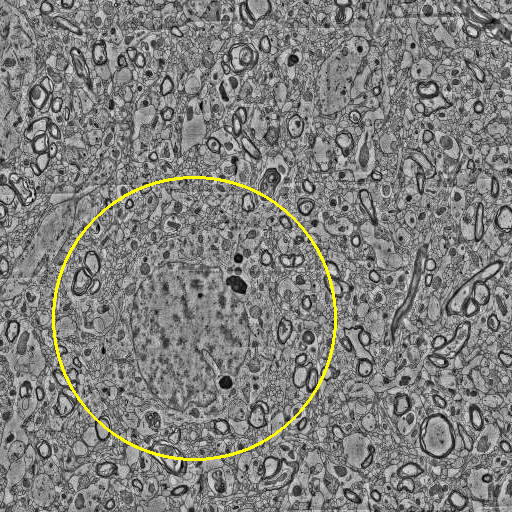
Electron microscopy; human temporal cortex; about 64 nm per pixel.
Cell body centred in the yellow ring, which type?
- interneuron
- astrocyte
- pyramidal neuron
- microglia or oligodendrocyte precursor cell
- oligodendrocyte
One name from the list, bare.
interneuron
